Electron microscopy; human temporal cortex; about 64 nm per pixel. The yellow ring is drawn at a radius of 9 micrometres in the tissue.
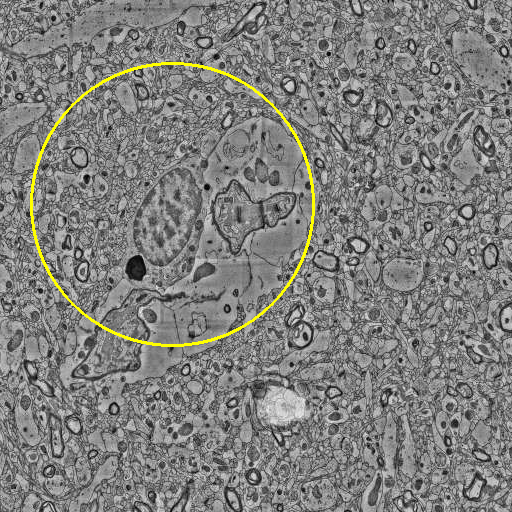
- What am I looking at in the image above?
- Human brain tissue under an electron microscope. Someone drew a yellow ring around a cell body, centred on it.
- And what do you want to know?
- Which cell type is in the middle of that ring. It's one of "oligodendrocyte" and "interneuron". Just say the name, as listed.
oligodendrocyte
